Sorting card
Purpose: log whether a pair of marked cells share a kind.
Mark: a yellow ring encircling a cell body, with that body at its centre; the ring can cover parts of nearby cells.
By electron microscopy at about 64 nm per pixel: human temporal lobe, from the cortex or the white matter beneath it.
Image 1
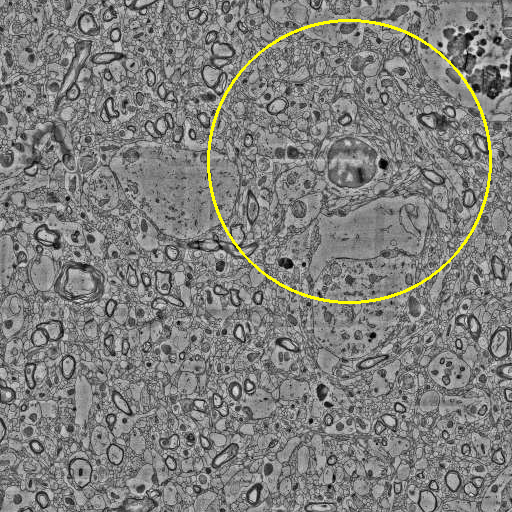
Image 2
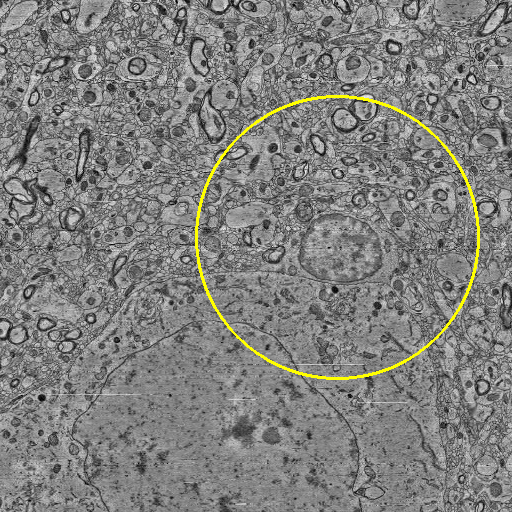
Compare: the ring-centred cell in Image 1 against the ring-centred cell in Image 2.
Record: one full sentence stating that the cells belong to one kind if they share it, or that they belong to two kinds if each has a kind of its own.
Across Images 1 and 2, the two ring-centred cells belong to two kinds.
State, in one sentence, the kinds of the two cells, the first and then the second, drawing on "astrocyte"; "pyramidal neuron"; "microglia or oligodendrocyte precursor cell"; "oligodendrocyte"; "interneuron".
The ring in the second picture is centred on an oligodendrocyte, the ring in the first on a microglial cell or oligodendrocyte precursor cell.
